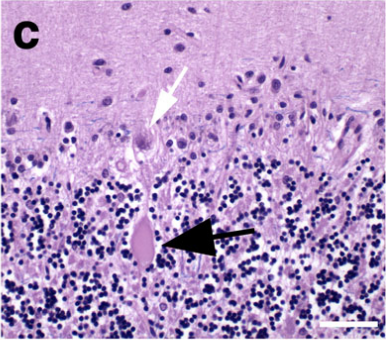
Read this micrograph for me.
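This is cerebellar cortex at higher magnification, showing the lower molecular layer above and the granular layer below. The granular layer is packed with small round dark blue granule cell nuclei. Within the granular layer lies an elongated, smooth pink fusiform swelling without a nucleus. The molecular layer above contains scattered oval nuclei and a pale pink fibrillar background.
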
